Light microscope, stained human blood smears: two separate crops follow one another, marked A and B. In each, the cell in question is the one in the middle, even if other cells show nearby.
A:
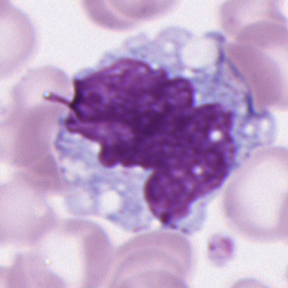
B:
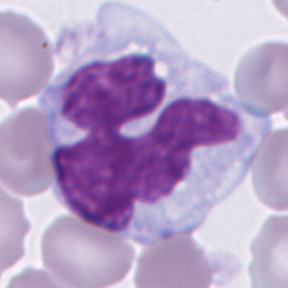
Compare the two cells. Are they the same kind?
yes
